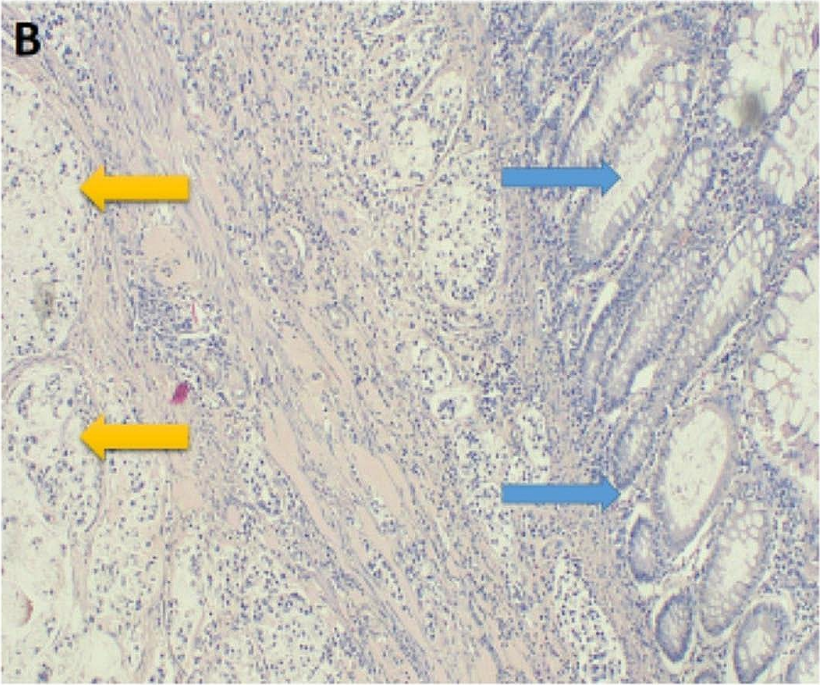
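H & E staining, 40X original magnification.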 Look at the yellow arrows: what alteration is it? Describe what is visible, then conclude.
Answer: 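Pale, lightly stained pools lie in pink fibrous stroma. Scattered cells float within the pale pools.
Hence: invasive glandular tumor with mucin production.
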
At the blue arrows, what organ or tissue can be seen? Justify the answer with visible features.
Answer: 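Normal colonic mucosa. Straight, regular crypts are lined by columnar cells with basal nuclei. Crypt cells contain many pale goblet-like vacuoles. Lamina propria between crypts holds many small dark nuclei.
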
